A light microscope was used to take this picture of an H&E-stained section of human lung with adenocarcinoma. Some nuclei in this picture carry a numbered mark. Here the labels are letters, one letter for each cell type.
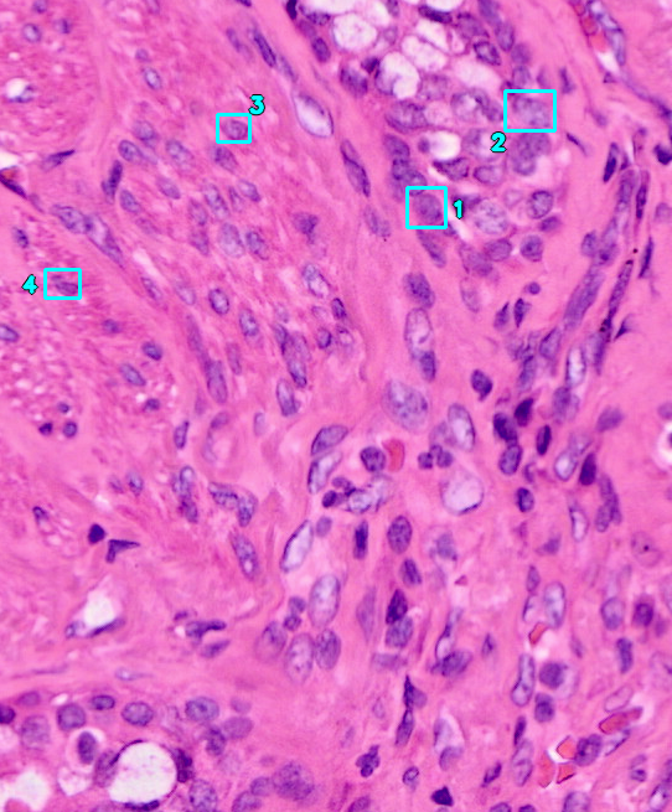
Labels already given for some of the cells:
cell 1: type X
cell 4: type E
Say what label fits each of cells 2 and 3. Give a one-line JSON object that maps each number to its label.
{"2": "type X", "3": "type E"}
